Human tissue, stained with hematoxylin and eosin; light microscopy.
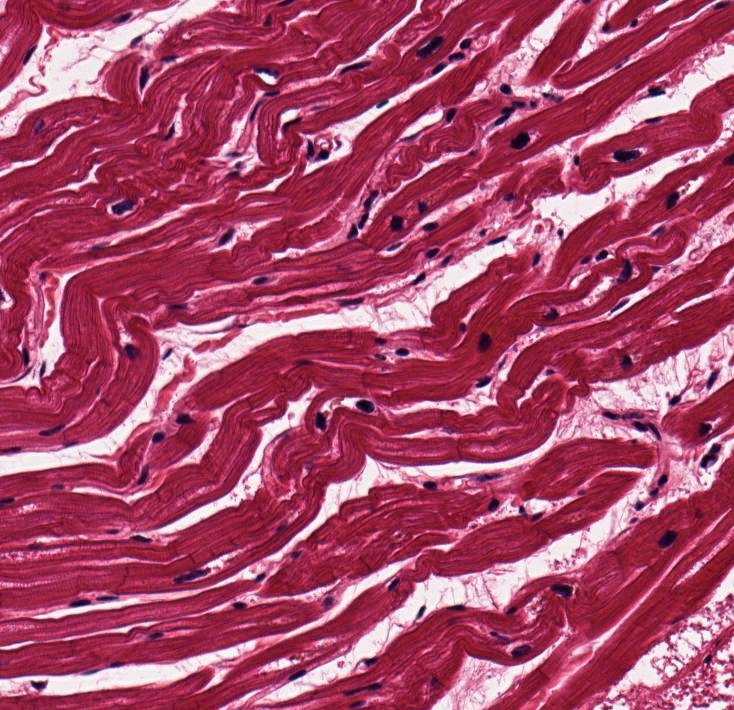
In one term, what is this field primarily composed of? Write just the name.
myocardium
